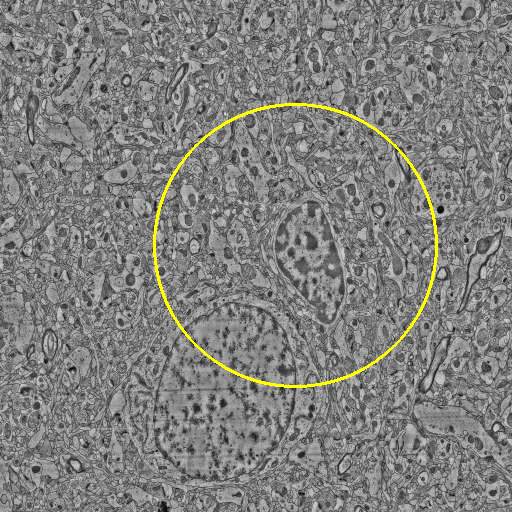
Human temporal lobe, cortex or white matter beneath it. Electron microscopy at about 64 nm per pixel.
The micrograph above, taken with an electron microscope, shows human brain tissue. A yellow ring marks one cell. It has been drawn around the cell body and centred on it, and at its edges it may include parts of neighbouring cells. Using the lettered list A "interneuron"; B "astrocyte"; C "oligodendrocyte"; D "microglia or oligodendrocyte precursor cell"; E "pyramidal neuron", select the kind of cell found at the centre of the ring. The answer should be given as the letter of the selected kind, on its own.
D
